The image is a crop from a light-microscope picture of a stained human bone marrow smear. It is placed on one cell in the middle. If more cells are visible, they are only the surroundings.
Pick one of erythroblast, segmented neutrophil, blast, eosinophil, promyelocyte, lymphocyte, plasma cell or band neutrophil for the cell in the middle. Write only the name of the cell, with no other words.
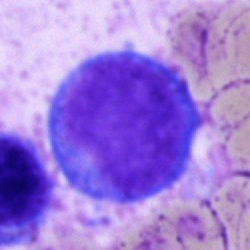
blast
